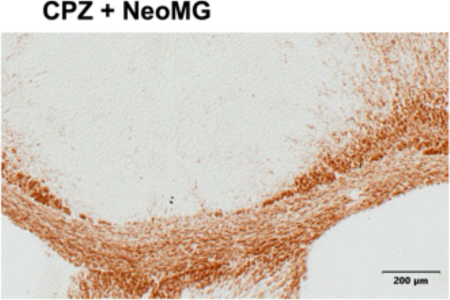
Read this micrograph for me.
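A brain section shows a broad, arching band of dense brown staining running across the lower part of the field, beneath a pale, almost unstained region above. The stain is strong and fairly even along the band, with only slightly paler patches in its middle.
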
